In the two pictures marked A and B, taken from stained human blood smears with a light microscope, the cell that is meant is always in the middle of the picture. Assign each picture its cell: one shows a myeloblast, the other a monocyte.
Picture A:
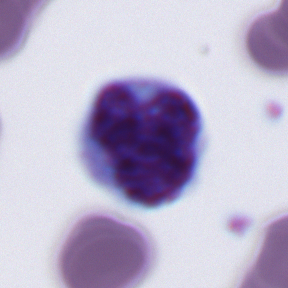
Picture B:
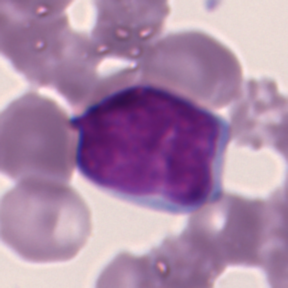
A: monocyte
B: myeloblast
